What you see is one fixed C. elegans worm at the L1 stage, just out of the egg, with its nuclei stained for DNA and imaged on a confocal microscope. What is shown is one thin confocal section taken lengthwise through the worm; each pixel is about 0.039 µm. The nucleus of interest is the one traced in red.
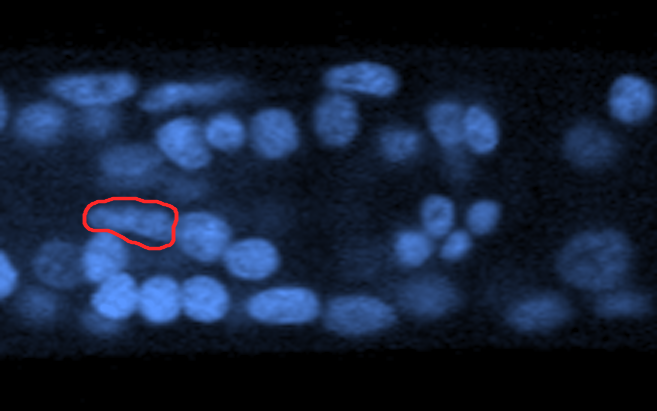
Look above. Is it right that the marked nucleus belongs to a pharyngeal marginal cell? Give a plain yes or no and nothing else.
yes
